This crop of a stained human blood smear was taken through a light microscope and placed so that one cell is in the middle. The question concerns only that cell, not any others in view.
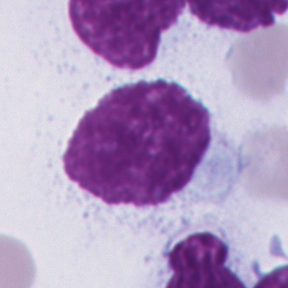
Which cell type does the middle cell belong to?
blast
